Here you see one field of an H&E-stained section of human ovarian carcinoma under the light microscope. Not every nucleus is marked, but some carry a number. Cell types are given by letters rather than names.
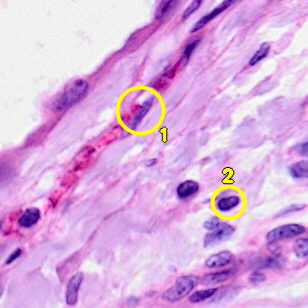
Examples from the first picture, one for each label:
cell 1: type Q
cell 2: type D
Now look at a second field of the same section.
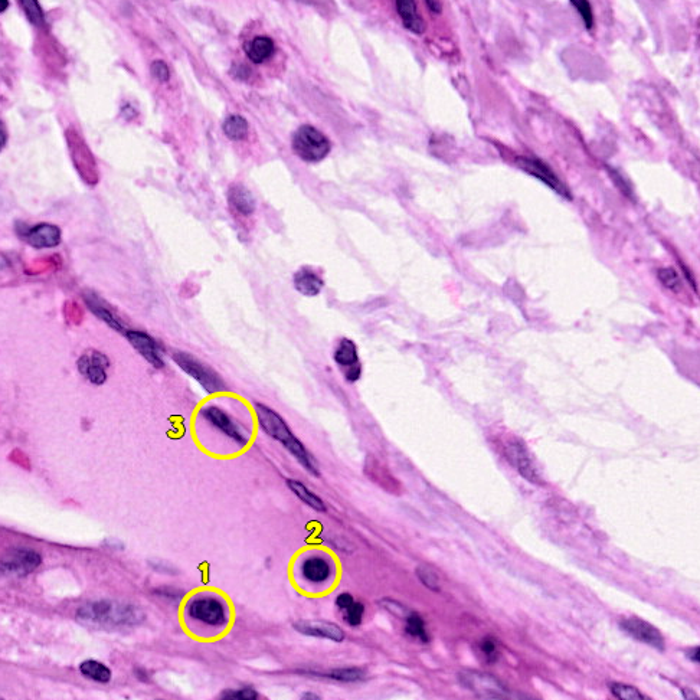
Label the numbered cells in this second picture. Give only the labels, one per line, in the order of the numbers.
type D
type D
type Q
